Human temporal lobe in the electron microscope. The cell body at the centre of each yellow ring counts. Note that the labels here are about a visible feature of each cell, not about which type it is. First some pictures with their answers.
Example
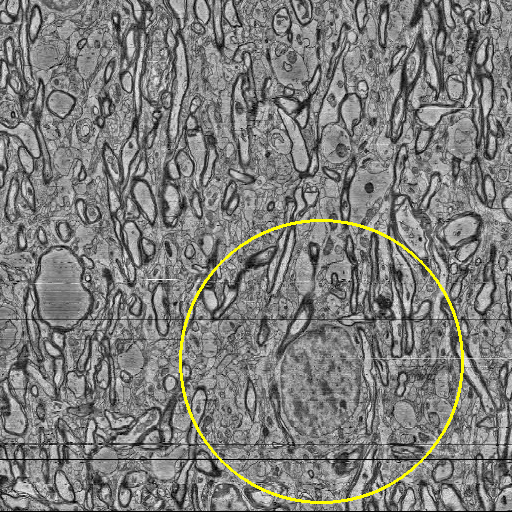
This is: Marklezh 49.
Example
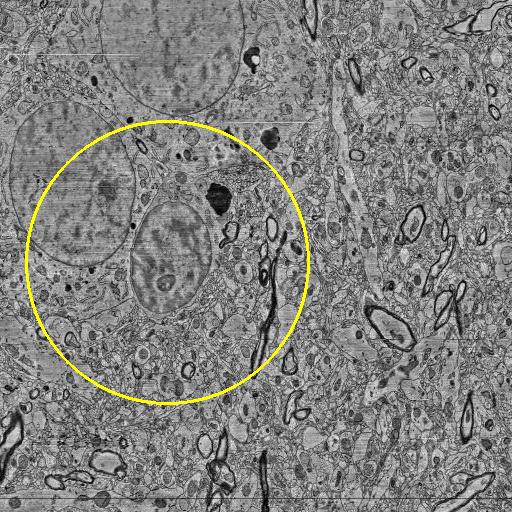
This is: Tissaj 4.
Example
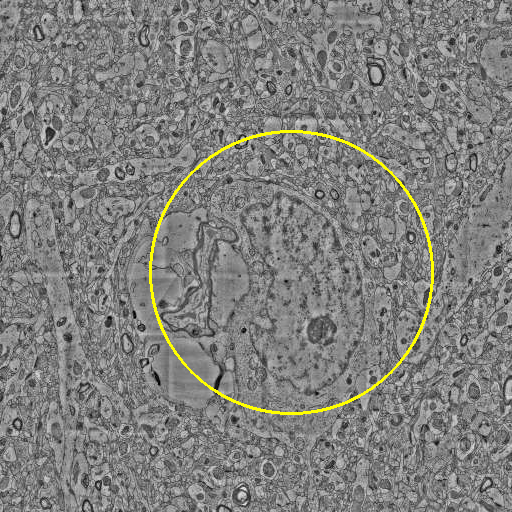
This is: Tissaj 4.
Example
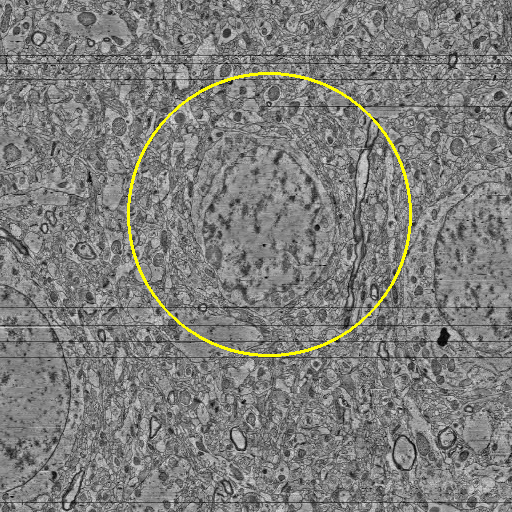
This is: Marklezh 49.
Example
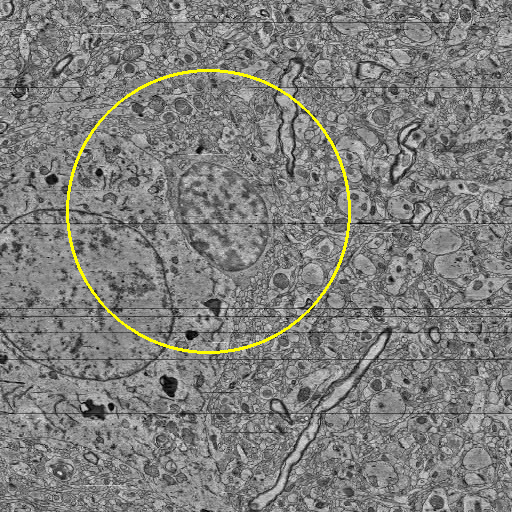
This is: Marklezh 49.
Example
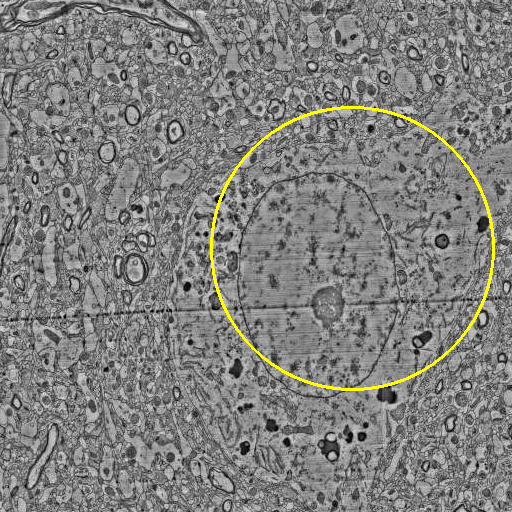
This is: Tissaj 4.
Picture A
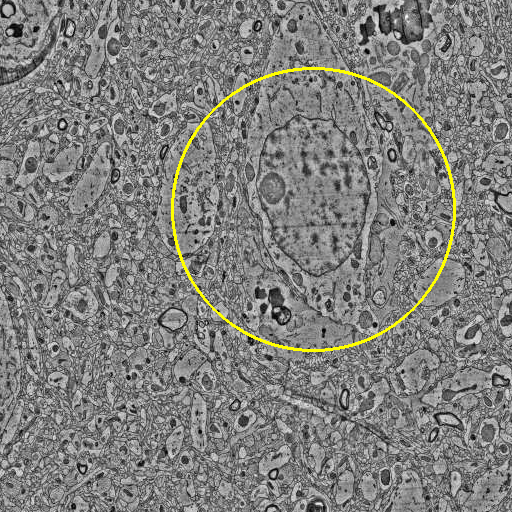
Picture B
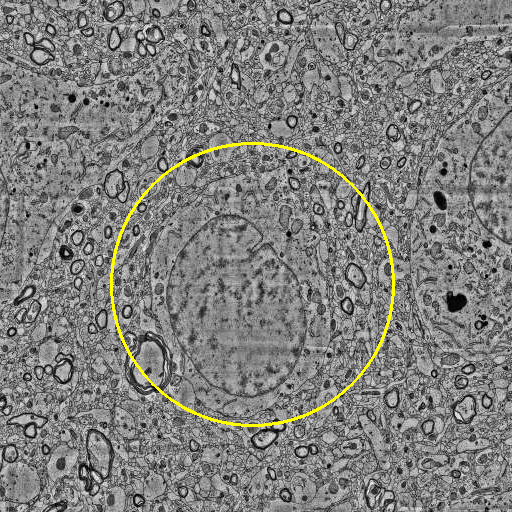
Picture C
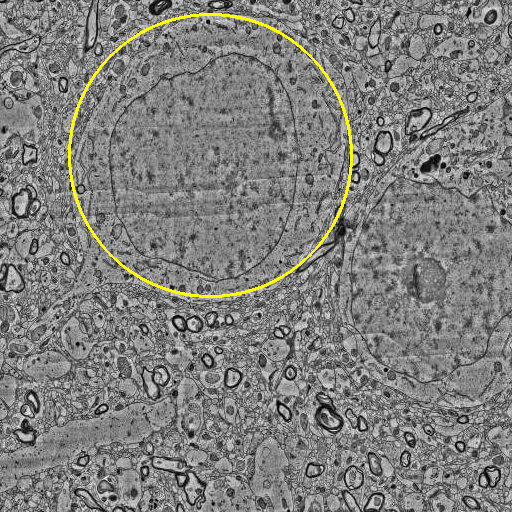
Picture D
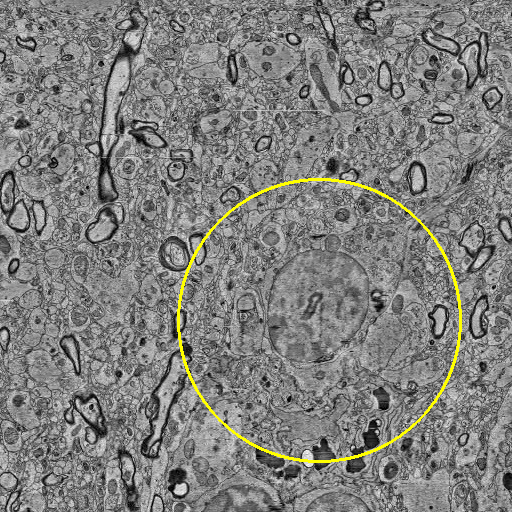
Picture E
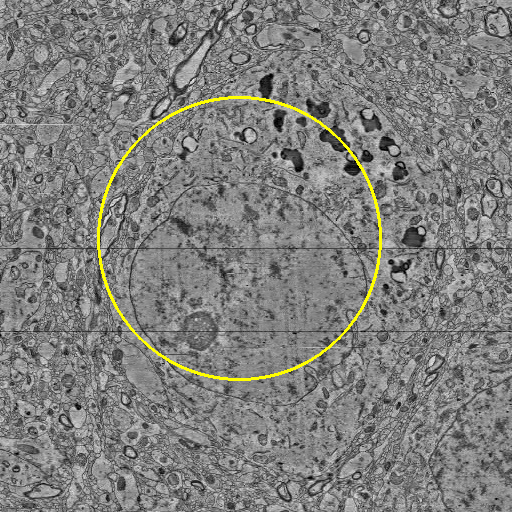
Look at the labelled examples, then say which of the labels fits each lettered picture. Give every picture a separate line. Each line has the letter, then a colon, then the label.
A: Tissaj 4.
B: Marklezh 49.
C: Marklezh 49.
D: Marklezh 49.
E: Tissaj 4.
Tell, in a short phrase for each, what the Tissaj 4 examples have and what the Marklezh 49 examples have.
In Tissaj 4: nucleolus seen. In Marklezh 49: no nucleolus seen.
